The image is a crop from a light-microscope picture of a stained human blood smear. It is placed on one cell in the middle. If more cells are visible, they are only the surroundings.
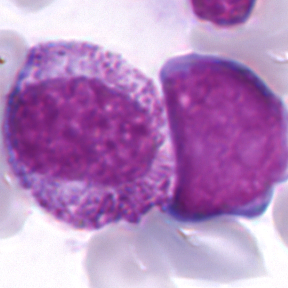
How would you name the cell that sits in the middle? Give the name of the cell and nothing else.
myelocyte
